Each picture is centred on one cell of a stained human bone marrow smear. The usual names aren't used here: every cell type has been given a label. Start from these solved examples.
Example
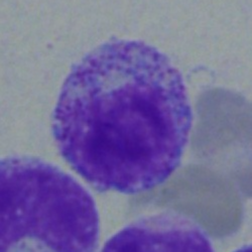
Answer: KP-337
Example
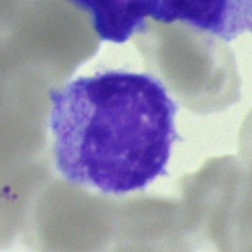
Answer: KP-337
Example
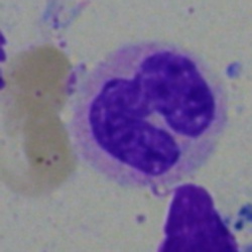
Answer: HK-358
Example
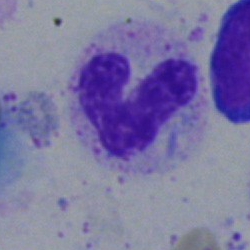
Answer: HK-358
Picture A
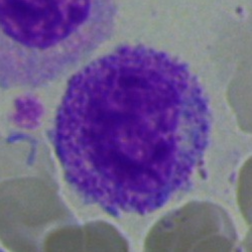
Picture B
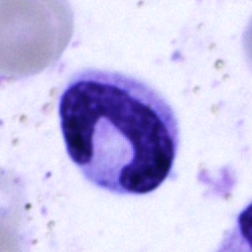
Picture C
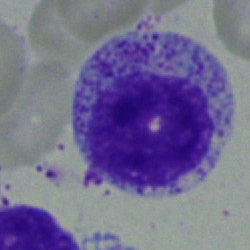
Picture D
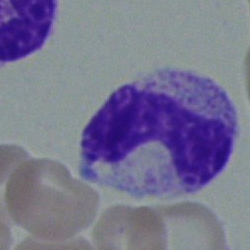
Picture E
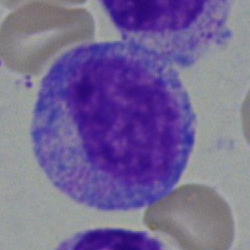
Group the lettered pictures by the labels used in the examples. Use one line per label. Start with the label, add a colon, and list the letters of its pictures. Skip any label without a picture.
KP-337: A, C, E
HK-358: B, D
